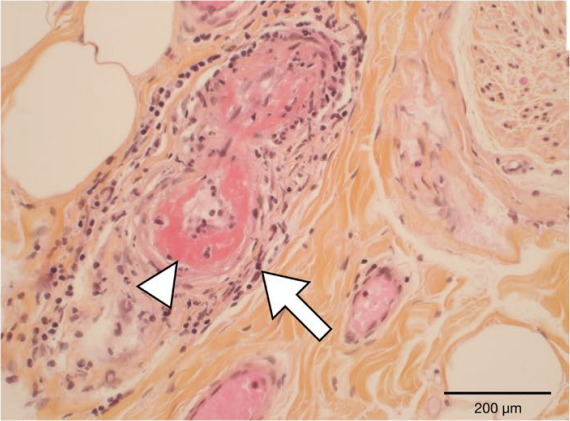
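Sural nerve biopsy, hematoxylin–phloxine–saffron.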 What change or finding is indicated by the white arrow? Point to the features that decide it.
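Many small round dark nuclei crowd around the vessel wall. The cells lie in layers encircling the pink vessel.
Mononuclear inflammatory infiltrates.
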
